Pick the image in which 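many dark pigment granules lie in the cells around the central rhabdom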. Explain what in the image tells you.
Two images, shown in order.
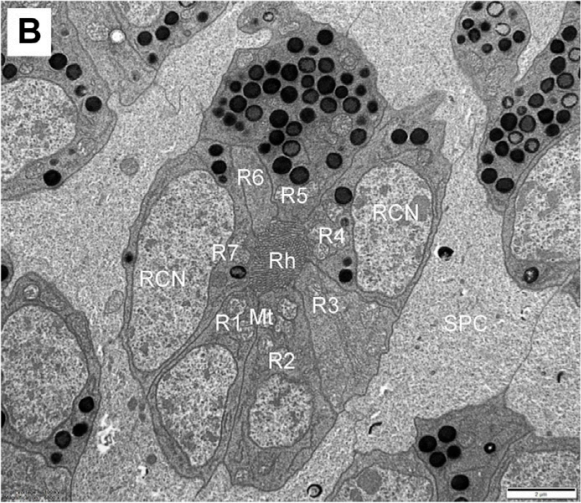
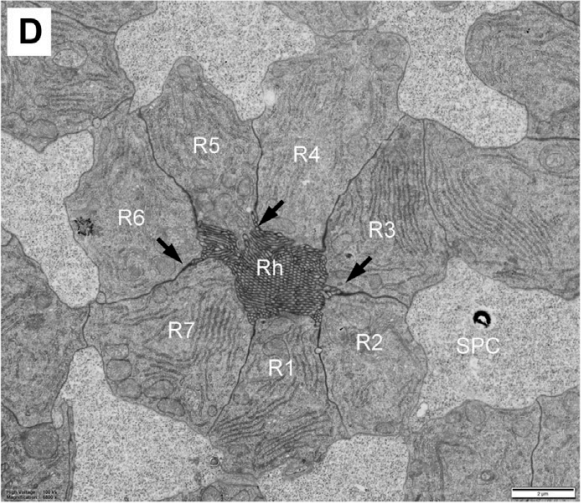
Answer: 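Second image: the cells around the rhabdom have pale cytoplasm with mitochondria and almost no black granules. First image: clusters of round black granules crowd the cytoplasm near and around the rhabdom. On this evidence: the first image.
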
